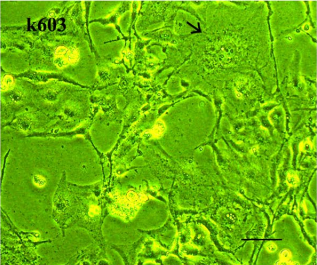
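This phase-contrast view shows cultured cells that have spread into very large, flat shapes with thin, irregular borders outlined by dark lines. One of these giant cells, marked by the arrow, has cytoplasm speckled with fine granules. Between the flattened cells run narrow, elongated processes, and a few small, bright, rounded bodies sit scattered over the field. The cells are far broader than ordinary spindle-shaped cultured cells, leaving a patchwork of wide cytoplasmic sheets.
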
